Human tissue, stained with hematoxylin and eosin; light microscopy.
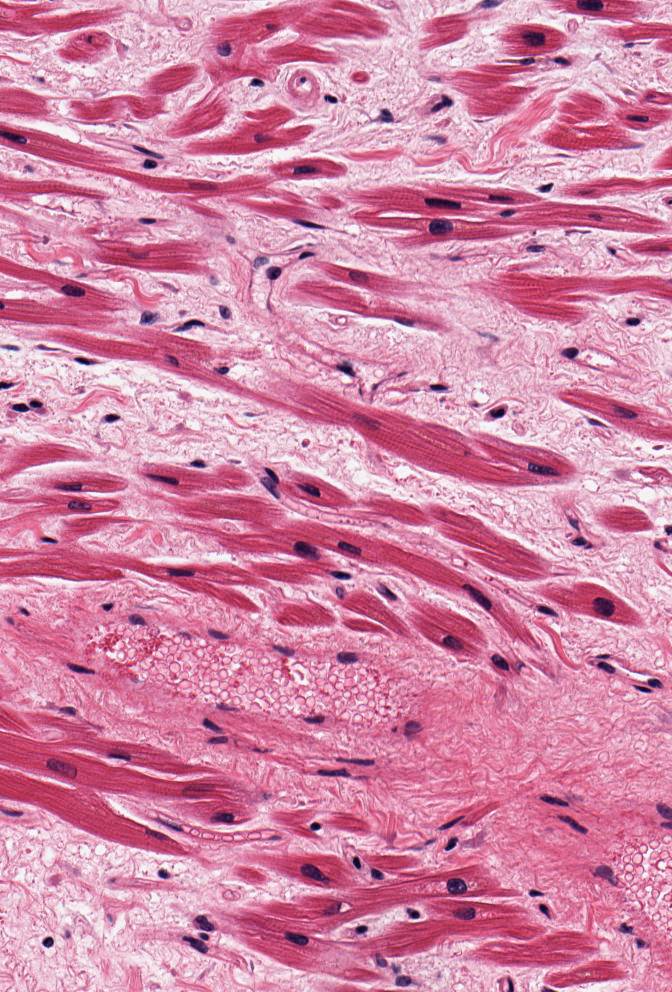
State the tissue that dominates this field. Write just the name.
myocardium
